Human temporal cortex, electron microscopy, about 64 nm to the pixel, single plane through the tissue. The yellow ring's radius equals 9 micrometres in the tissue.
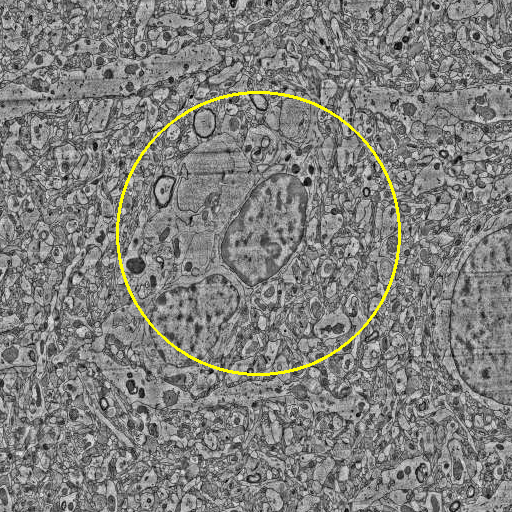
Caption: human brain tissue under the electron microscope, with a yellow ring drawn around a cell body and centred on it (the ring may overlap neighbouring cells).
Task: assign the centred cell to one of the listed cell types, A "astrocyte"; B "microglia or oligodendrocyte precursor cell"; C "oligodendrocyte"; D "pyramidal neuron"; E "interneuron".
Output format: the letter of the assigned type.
B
